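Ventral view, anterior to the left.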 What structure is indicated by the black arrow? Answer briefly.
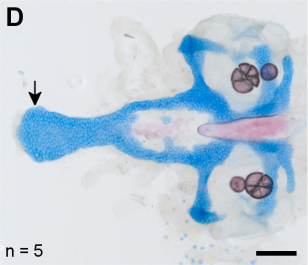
Ethmoid plate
